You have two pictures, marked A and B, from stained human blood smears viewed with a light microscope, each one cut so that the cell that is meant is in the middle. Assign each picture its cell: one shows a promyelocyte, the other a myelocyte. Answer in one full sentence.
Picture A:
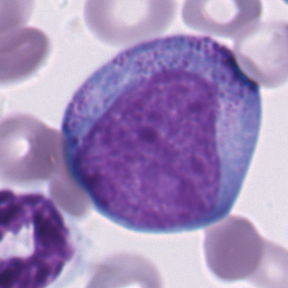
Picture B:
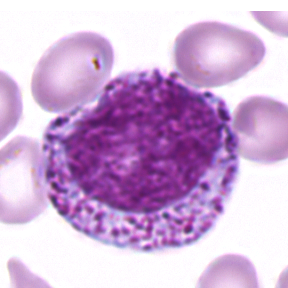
It is picture A that shows a promyelocyte, and picture B that shows a myelocyte.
